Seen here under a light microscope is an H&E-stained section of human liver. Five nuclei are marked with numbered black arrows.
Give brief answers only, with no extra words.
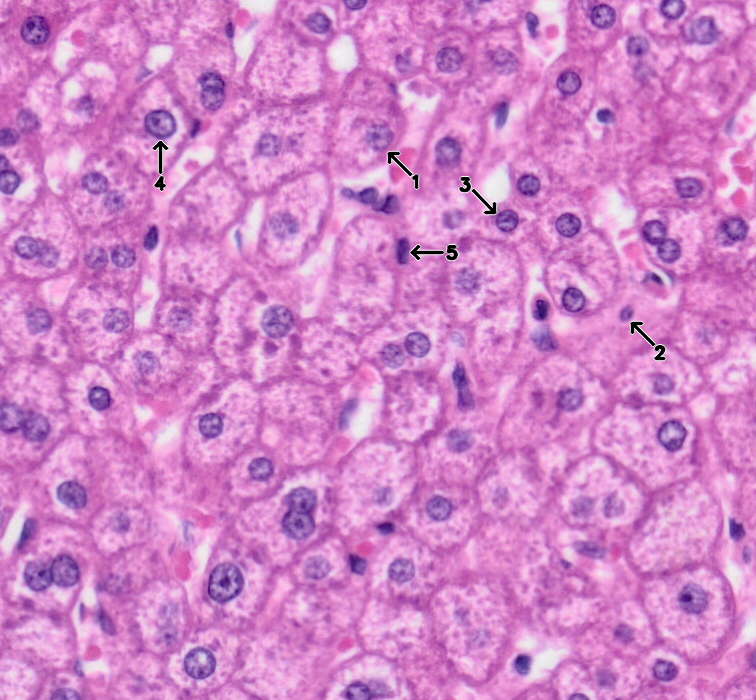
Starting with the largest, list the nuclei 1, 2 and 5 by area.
1, 5, 2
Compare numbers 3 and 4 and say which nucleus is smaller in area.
3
